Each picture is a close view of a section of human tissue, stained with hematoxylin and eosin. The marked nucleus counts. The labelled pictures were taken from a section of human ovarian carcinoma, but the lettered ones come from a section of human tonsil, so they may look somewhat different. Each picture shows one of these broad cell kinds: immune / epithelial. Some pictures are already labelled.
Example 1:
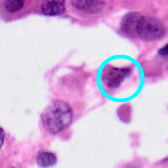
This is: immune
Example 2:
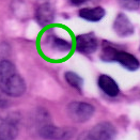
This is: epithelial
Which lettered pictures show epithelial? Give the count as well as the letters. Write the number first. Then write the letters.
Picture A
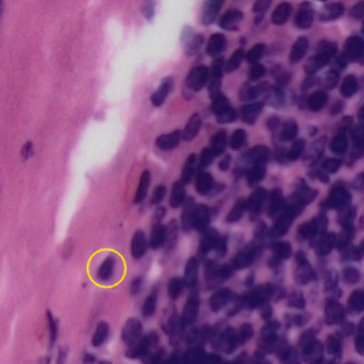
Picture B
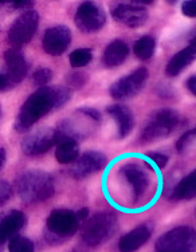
1: B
